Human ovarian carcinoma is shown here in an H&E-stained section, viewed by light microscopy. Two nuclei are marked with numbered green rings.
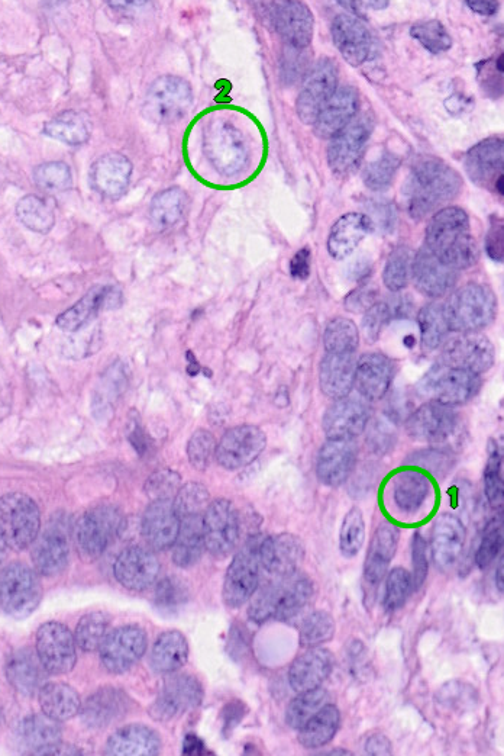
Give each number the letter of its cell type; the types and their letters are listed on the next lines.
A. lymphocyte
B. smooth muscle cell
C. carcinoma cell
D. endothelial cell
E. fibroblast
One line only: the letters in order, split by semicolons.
C; E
